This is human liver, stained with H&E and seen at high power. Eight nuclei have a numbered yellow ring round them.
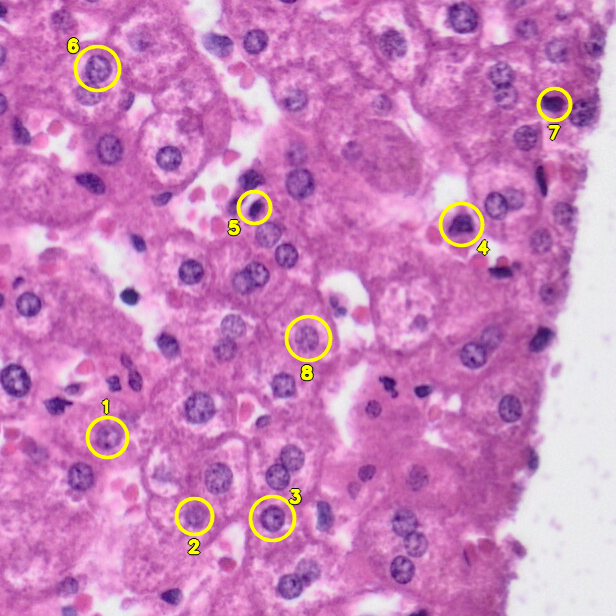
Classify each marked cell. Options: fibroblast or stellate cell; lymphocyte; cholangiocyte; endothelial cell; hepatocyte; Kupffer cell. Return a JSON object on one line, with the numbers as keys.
{"1": "hepatocyte", "2": "hepatocyte", "3": "hepatocyte", "4": "Kupffer cell", "5": "fibroblast or stellate cell", "6": "hepatocyte", "7": "fibroblast or stellate cell", "8": "hepatocyte"}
